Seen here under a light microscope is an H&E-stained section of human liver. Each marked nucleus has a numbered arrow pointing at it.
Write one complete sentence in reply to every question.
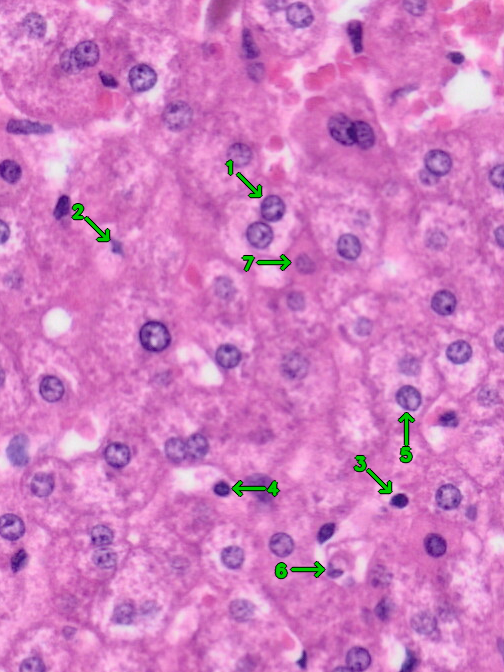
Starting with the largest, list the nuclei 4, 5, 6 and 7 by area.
The nuclei rank 5, 7, 4, 6, from largest to smallest.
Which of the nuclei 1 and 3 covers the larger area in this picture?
Nucleus 1 covers more area, about 2.5 times as much as nucleus 3.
